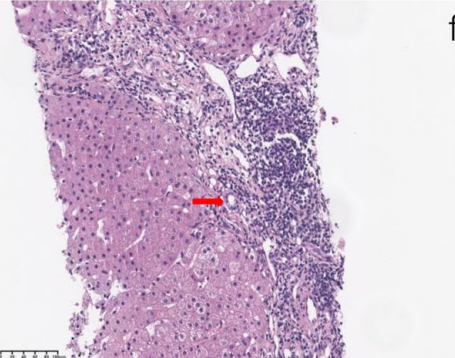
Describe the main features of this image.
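Liver biopsy core showing interface hepatitis: a portal area with dense inflammatory infiltrate abuts the hepatic parenchyma. On the left, hepatocytes are large polygonal cells with pink cytoplasm and round central nuclei, arranged in plates separated by narrow sinusoids. On the right, a dense infiltrate of small round cells with dark purple nuclei and scant cytoplasm fills the portal tissue. A small structure within the infiltrate is crowded by inflammatory cells, in keeping with an injured bile duct.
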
